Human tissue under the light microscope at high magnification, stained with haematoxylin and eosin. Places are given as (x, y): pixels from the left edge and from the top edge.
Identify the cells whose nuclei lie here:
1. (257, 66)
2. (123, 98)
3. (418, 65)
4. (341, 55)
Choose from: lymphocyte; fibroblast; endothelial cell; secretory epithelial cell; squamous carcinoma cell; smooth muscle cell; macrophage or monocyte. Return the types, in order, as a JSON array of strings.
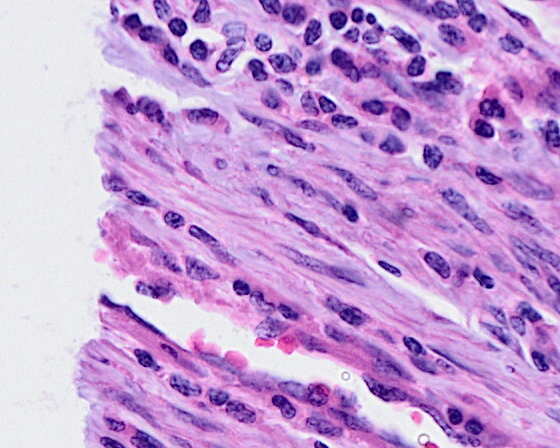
["lymphocyte", "macrophage or monocyte", "lymphocyte", "lymphocyte"]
